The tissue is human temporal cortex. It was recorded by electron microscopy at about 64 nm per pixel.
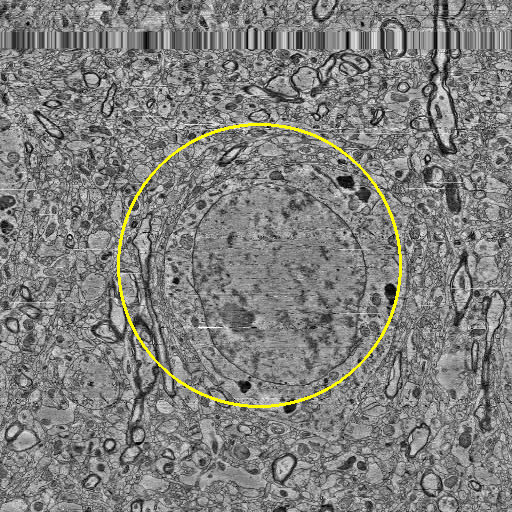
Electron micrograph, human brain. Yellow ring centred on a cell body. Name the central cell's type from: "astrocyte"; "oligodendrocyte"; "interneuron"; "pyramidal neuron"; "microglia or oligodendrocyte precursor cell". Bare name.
pyramidal neuron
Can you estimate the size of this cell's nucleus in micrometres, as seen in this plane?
The nucleus appears roughly 14 by 11 micrometres in this plane.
